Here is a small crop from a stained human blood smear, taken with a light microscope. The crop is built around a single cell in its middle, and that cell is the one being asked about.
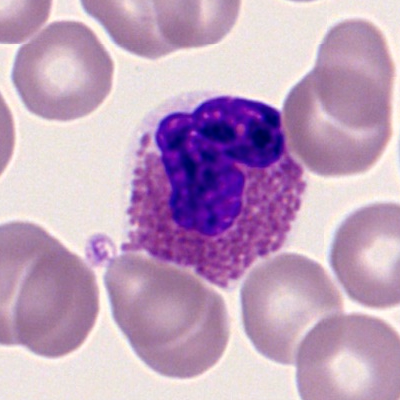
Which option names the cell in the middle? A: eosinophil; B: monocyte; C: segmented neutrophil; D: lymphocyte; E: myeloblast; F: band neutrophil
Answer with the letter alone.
A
